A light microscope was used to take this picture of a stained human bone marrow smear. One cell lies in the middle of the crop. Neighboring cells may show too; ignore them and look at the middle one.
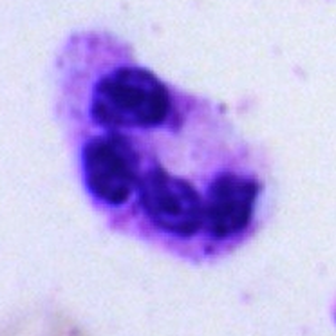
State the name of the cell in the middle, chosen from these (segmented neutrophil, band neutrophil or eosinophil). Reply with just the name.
segmented neutrophil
